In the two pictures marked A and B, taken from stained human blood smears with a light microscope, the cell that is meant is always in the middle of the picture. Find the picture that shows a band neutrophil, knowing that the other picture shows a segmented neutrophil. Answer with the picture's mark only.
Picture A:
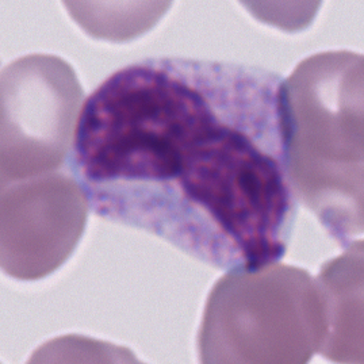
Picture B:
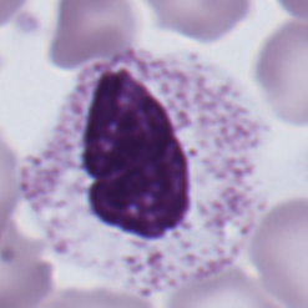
A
